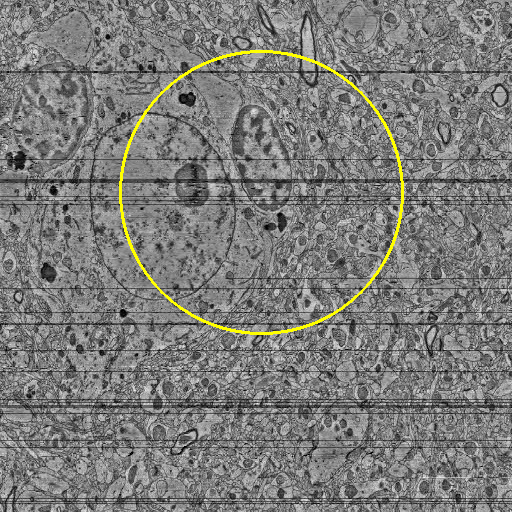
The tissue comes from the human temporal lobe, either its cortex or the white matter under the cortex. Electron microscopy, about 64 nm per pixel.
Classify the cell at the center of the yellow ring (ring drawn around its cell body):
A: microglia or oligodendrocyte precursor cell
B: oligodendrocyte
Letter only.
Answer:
A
